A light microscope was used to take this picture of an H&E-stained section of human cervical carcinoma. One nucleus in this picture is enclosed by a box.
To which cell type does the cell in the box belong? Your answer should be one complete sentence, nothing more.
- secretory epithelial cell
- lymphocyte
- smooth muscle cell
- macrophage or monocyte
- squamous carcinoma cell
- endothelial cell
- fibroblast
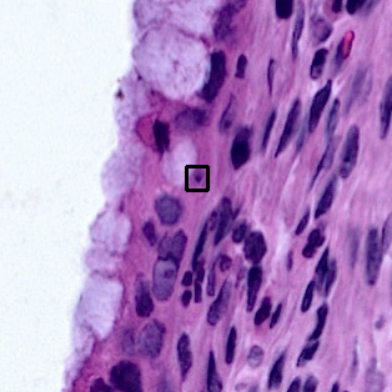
Students should answer that the cell in the box is a secretory epithelial cell.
